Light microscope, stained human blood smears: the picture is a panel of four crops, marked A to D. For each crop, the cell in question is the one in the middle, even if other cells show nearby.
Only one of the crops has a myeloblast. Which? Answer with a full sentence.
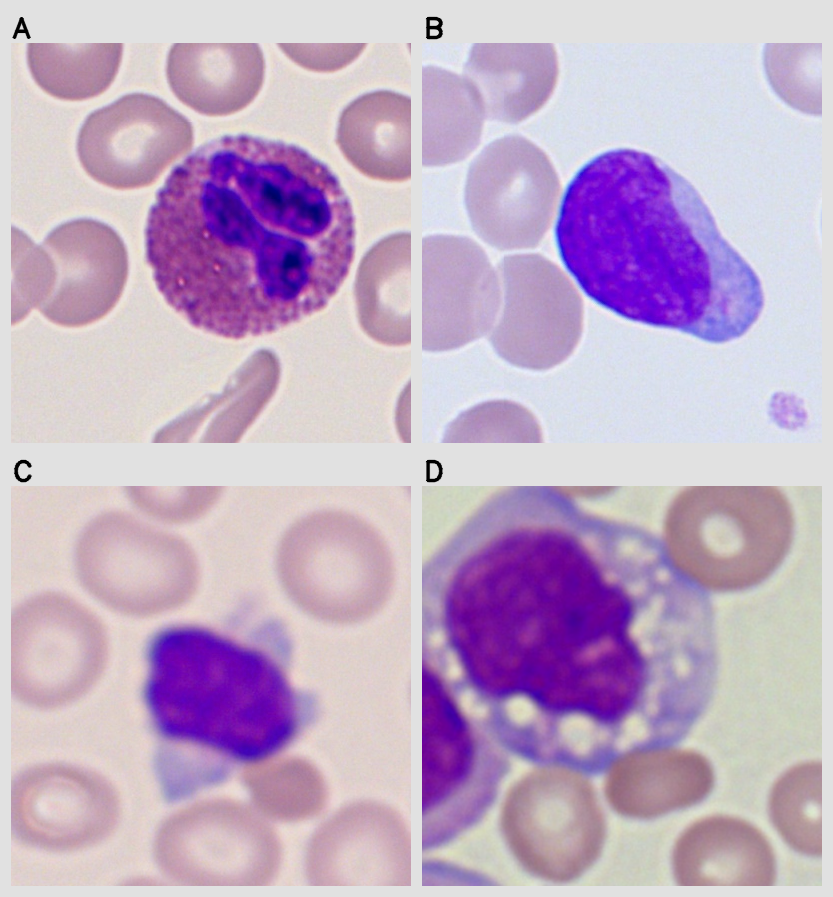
The one crop in the set with a myeloblast is crop B.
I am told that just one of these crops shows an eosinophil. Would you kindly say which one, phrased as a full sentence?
So the crop with an eosinophil at its center is crop A.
